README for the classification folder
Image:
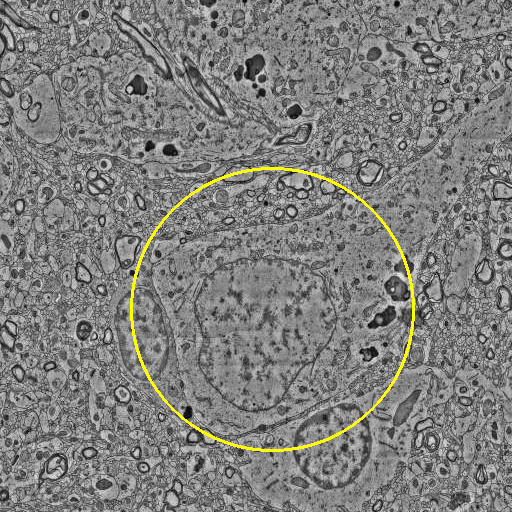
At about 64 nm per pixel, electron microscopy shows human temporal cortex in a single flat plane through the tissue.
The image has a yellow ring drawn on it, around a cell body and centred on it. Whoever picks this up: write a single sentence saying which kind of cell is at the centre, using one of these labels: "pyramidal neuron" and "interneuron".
This cell body is that of a pyramidal neuron.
